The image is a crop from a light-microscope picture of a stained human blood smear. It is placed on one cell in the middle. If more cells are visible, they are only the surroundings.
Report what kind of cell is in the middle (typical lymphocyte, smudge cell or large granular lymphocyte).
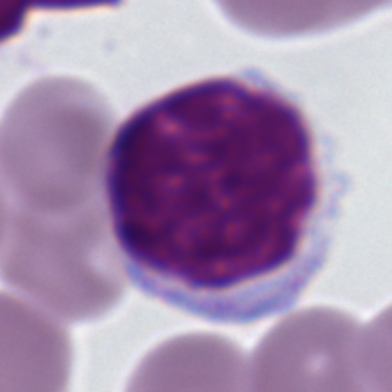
large granular lymphocyte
